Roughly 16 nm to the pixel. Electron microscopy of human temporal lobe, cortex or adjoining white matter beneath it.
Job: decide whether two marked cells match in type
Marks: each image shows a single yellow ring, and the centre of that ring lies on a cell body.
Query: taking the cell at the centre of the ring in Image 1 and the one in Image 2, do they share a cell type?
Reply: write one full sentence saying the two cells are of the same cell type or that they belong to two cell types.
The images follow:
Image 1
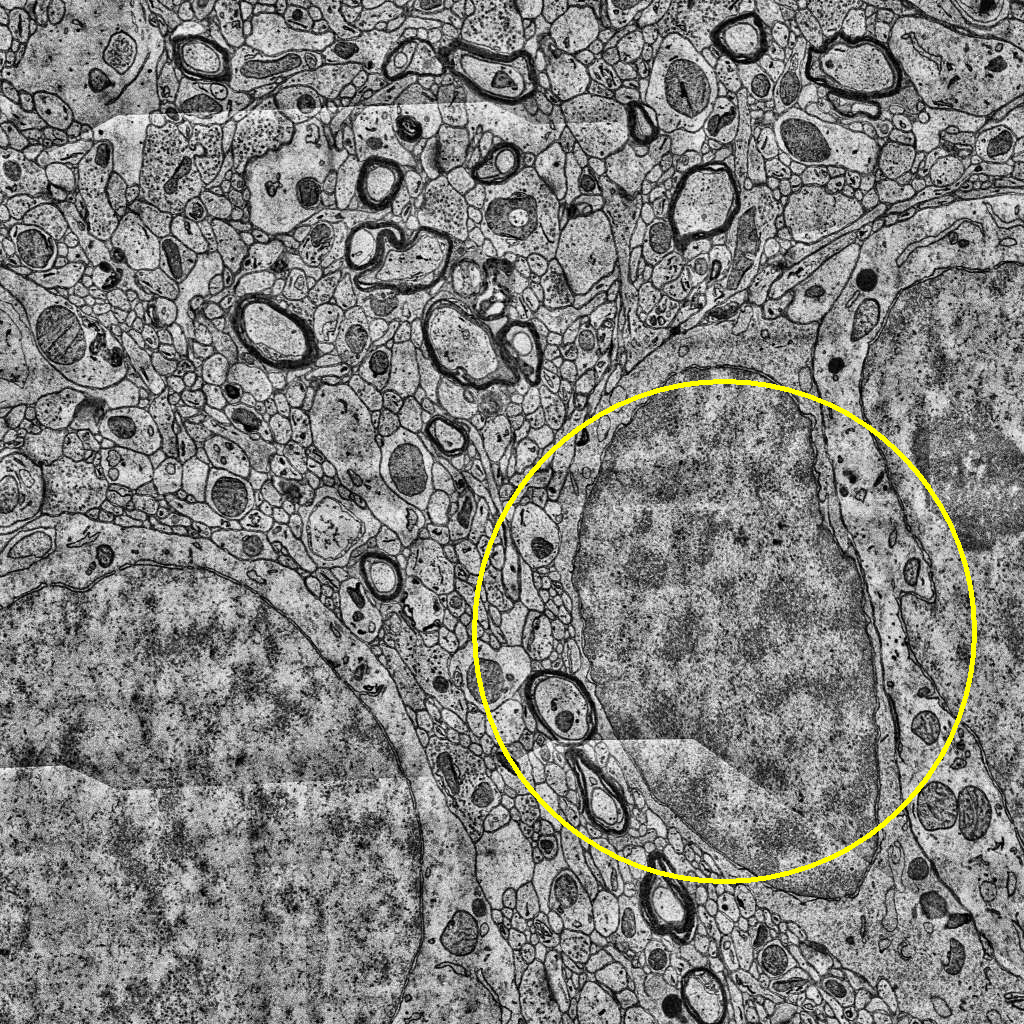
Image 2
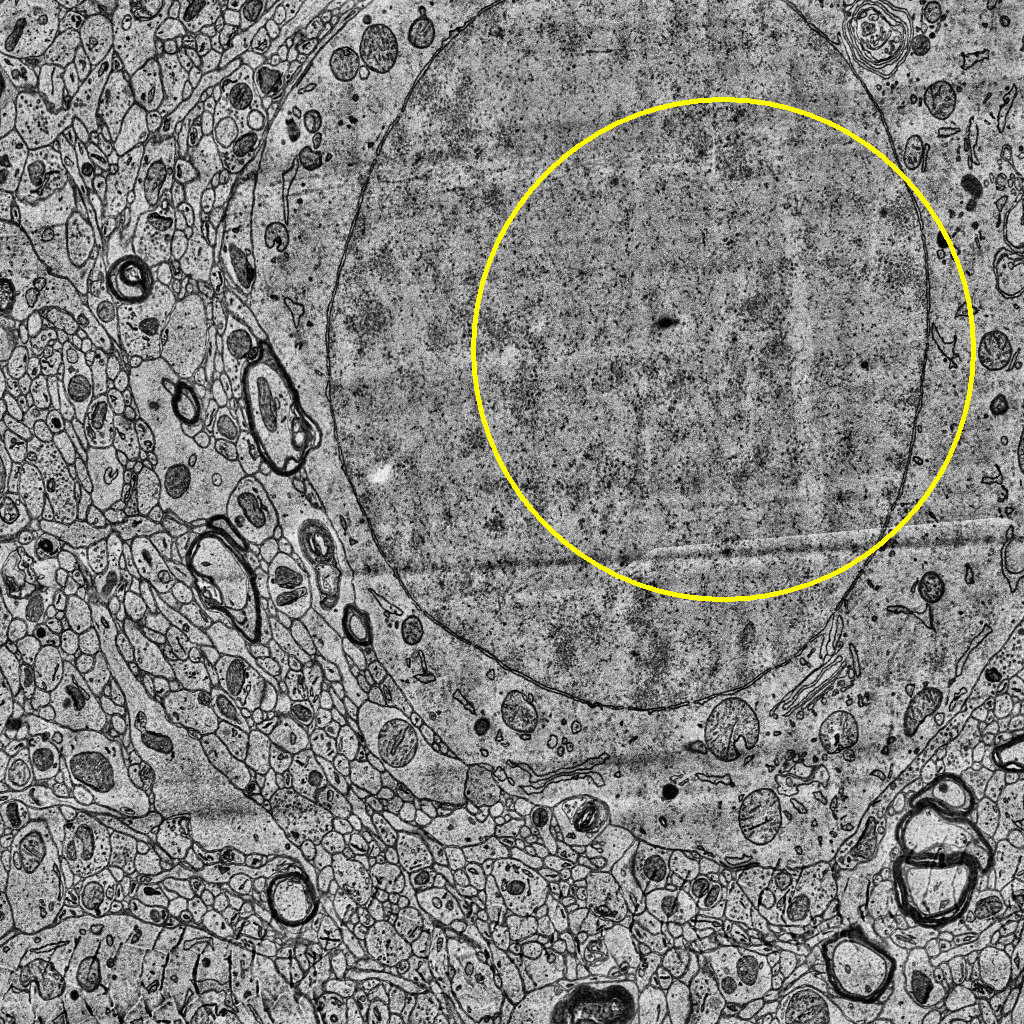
The cells at the ring centres in Image 1 and Image 2 belong to two cell types.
